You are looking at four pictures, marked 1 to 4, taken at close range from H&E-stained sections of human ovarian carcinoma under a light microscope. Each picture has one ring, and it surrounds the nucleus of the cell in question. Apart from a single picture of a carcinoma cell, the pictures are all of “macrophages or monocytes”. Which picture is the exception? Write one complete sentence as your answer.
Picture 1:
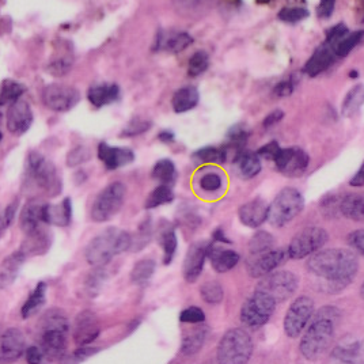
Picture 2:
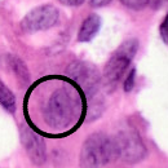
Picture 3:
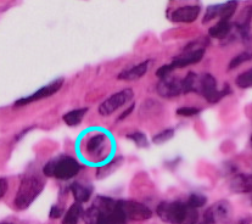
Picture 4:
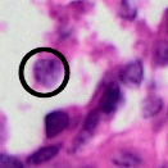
Picture 2 shows the carcinoma cell.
